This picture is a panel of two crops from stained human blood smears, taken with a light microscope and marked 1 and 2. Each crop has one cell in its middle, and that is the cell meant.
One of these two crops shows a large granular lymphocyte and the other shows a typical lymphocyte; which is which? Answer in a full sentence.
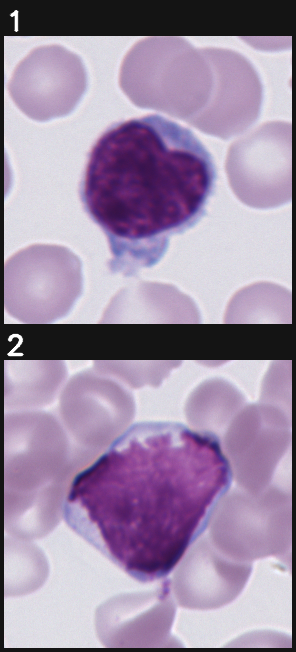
Crop 2 shows a large granular lymphocyte, and crop 1 shows a typical lymphocyte.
